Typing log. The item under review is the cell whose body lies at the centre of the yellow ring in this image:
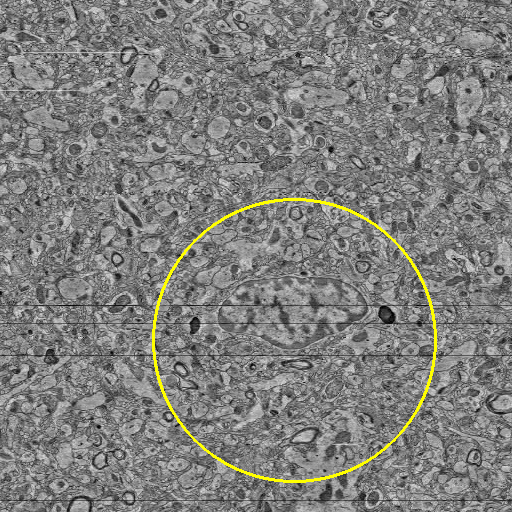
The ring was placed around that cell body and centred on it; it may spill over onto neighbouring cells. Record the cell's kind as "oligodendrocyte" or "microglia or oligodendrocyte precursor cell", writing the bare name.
microglia or oligodendrocyte precursor cell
